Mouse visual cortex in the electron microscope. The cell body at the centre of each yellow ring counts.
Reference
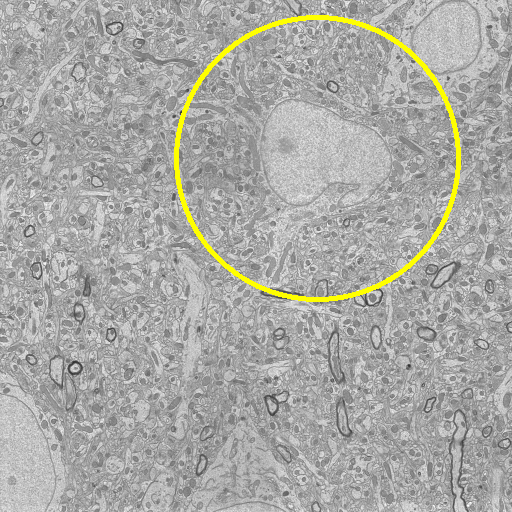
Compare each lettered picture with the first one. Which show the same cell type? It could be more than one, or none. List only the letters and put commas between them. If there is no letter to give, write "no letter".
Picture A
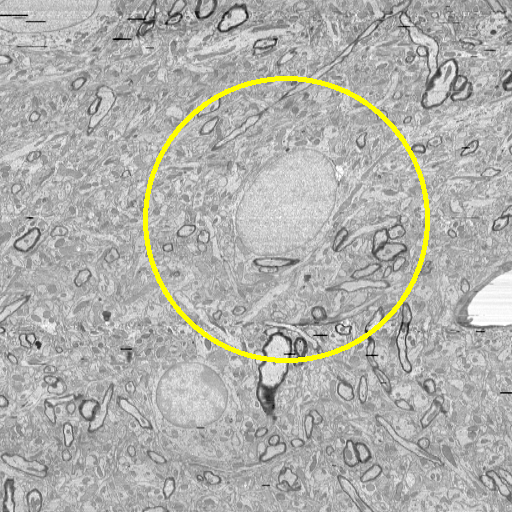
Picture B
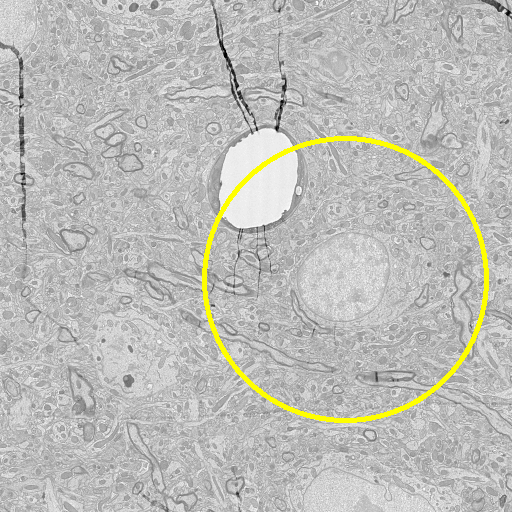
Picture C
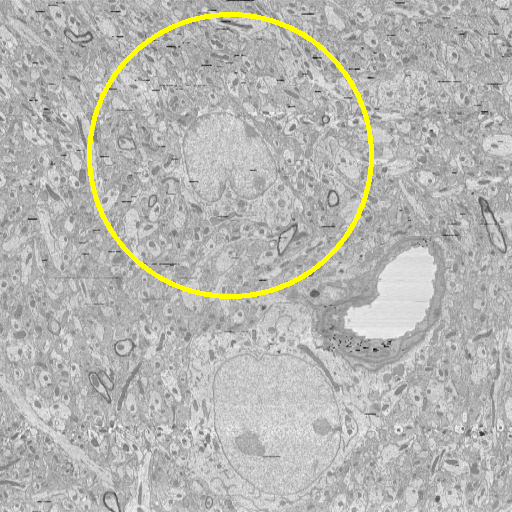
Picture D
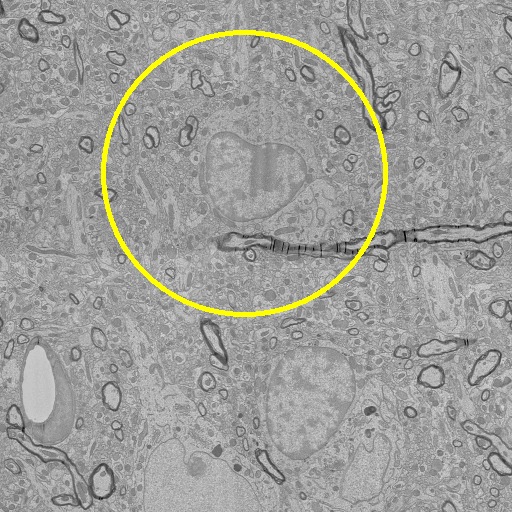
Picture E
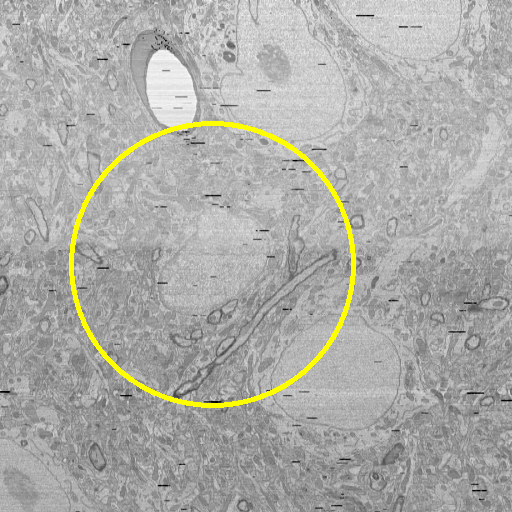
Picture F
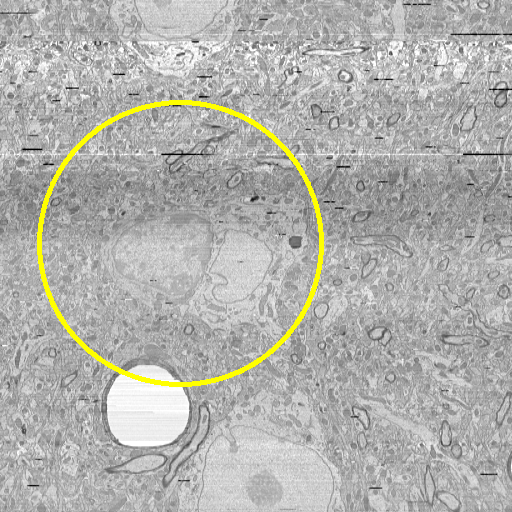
A, C, E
